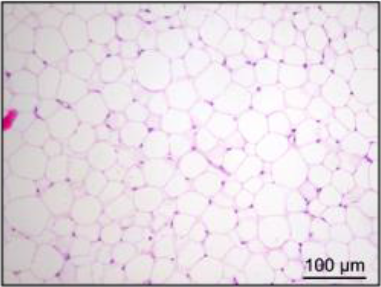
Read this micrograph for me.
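This is white adipose tissue, made of fat cells packed side by side like a honeycomb. Each cell appears as a clear, empty space because the lipid droplet was dissolved during processing, leaving only a thin pink rim of cytoplasm and membrane. The nuclei are small, dark purple and flattened against the edge of the cells, and they are few. The cells vary in size, with many fairly small ones among larger ones.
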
